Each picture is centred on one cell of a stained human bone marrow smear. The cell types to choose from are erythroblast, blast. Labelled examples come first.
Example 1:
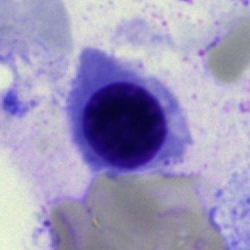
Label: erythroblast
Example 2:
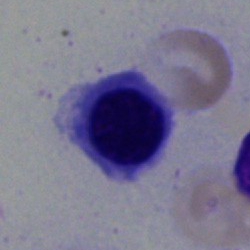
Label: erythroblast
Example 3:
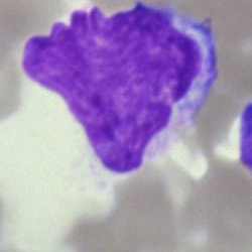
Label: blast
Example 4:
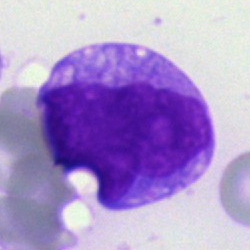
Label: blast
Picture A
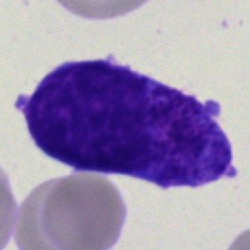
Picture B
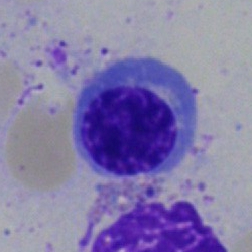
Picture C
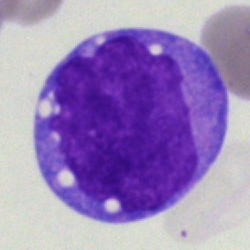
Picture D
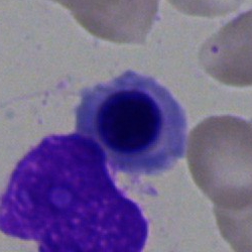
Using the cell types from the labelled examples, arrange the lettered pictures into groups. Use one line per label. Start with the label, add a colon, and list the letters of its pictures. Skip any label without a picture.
erythroblast: B, D
blast: A, C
